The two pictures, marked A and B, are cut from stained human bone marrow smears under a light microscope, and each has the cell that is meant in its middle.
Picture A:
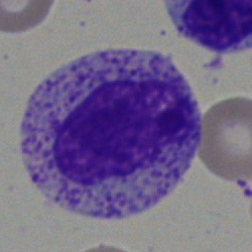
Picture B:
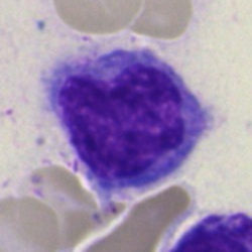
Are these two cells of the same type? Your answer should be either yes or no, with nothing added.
no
